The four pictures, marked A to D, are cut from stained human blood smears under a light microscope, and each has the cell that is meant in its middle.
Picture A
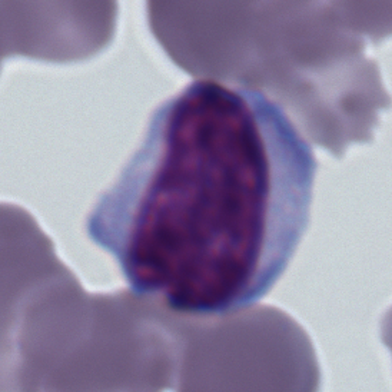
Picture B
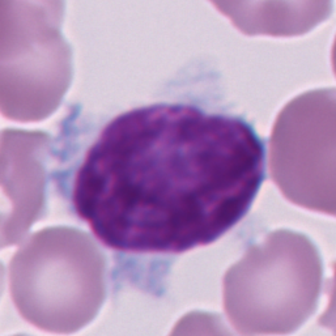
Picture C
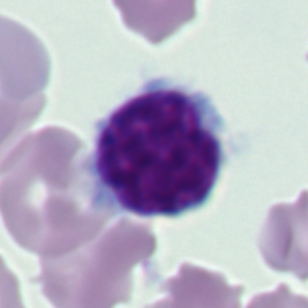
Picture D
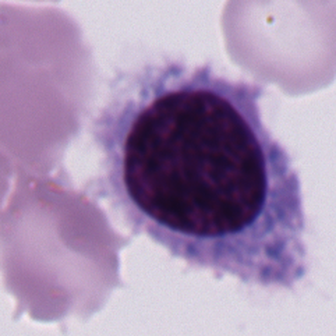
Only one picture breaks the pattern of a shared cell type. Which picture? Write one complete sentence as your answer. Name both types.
Picture A differs, because its cell is a typical lymphocyte and the rest are hairy cells.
